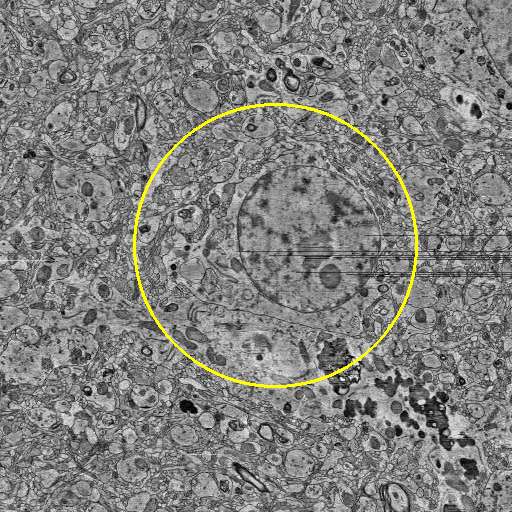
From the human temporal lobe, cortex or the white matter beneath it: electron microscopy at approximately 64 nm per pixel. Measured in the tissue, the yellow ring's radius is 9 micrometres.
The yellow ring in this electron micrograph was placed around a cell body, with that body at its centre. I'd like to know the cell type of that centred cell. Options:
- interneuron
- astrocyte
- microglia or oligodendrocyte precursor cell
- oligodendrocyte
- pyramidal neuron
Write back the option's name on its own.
astrocyte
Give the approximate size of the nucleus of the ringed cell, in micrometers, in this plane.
In this plane, the nucleus measures approximately 10 micrometres across.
